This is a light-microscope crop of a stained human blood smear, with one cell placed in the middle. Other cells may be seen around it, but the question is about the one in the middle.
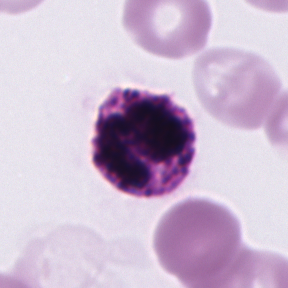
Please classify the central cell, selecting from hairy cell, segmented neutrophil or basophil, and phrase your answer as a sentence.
The center cell of this crop is a basophil.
